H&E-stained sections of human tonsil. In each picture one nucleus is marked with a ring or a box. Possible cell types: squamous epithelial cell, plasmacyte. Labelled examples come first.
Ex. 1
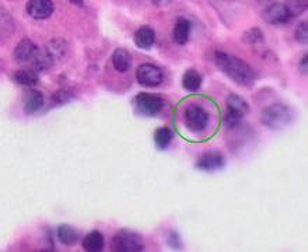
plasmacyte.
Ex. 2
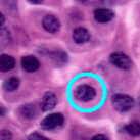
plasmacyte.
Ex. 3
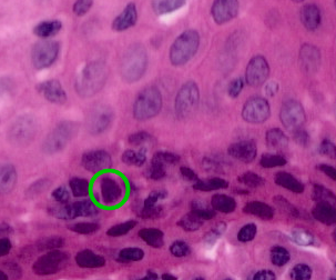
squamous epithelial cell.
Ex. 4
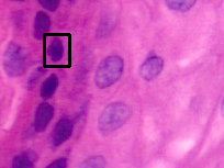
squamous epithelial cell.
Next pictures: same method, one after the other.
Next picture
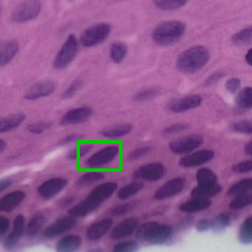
squamous epithelial cell.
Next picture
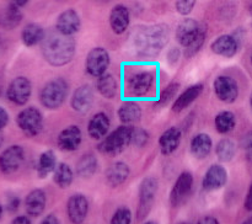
plasmacyte.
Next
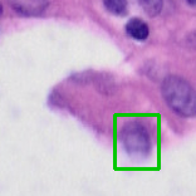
squamous epithelial cell.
